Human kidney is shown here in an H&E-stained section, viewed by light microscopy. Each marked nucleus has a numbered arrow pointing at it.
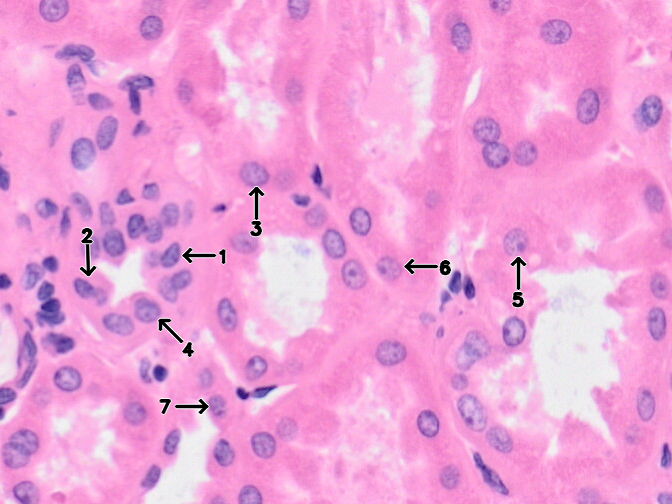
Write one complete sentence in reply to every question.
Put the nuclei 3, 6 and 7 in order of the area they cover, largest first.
Largest first, the order by area is 3, 6, 7.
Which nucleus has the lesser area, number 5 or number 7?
Nucleus 7 is the smaller one; nucleus 5 covers about 1.5 times its area.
